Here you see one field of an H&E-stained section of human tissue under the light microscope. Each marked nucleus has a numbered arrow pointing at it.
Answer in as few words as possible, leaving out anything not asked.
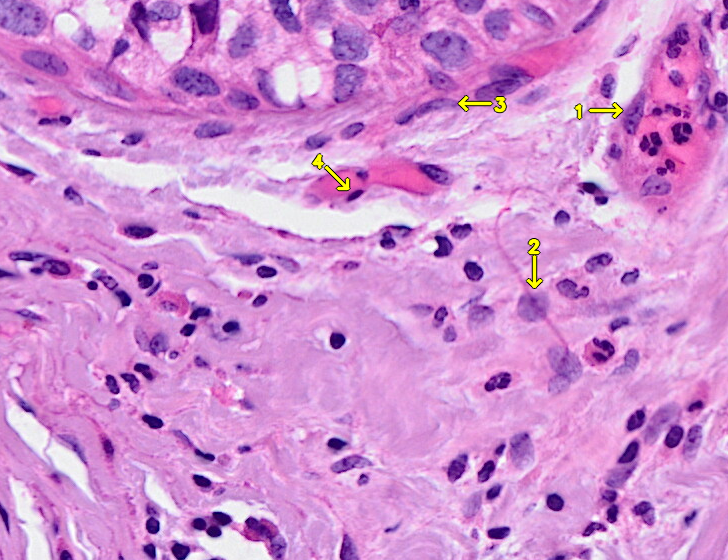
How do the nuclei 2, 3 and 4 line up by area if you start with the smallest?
4, 3, 2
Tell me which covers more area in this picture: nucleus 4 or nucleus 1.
1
